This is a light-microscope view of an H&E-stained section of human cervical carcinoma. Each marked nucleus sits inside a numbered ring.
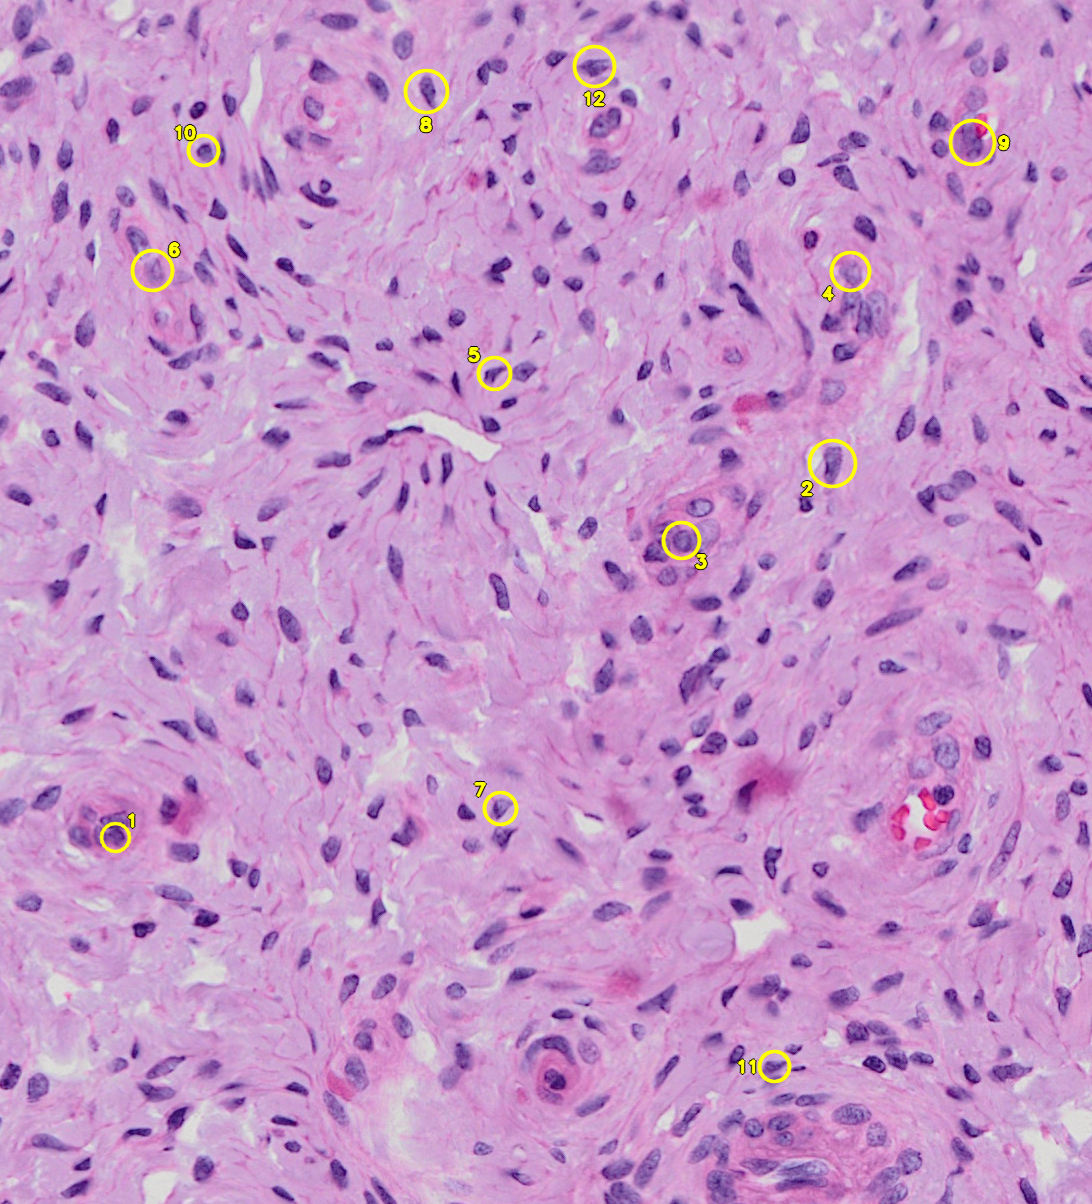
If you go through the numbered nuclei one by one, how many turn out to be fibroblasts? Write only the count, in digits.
7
